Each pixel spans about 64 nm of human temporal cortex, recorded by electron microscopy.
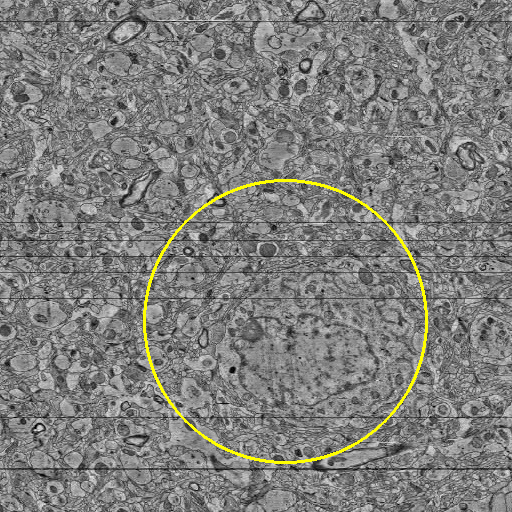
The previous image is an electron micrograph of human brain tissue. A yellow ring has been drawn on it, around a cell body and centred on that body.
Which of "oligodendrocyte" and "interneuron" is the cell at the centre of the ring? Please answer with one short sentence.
The cell body at the centre of the ring belongs to an interneuron.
